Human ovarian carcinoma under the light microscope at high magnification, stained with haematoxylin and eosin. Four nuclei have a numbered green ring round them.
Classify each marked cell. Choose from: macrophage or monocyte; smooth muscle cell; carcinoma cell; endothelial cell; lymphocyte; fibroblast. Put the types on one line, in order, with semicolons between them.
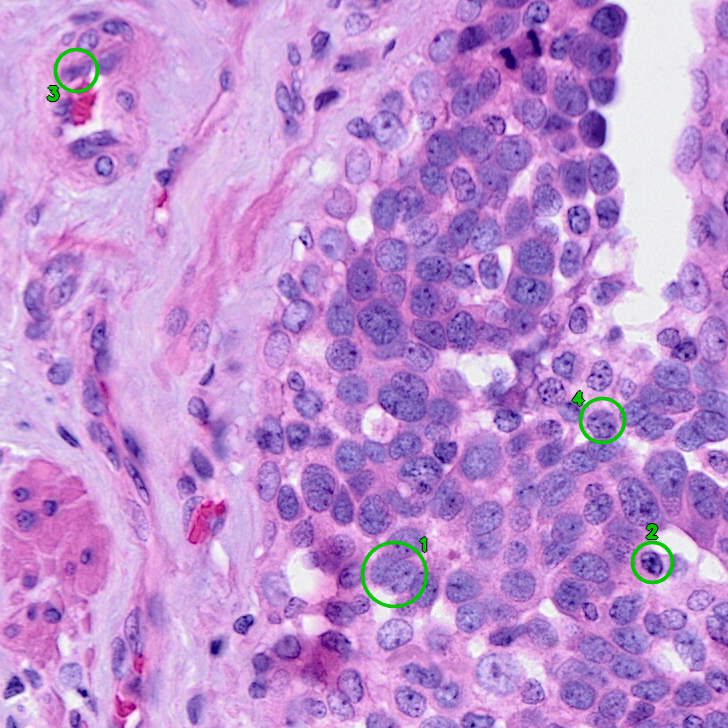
carcinoma cell; lymphocyte; endothelial cell; macrophage or monocyte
